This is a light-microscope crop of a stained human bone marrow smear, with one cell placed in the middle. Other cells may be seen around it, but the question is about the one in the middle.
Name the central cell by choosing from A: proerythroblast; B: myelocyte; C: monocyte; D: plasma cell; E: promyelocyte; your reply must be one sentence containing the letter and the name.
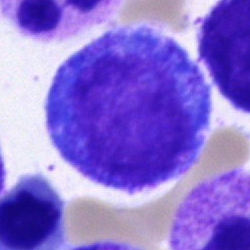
For this crop, option E is right, the centered cell being a promyelocyte.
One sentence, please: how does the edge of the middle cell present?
No surface projections are present; the cell outline is smooth.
